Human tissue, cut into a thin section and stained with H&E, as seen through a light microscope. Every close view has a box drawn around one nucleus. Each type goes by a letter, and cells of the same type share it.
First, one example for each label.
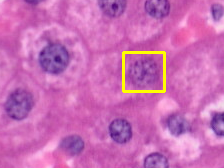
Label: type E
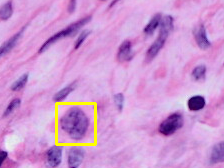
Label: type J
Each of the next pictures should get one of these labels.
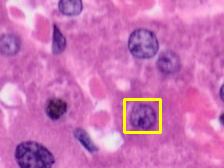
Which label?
type E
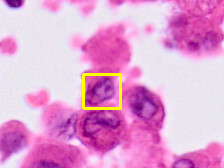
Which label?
type J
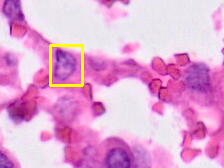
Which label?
type J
